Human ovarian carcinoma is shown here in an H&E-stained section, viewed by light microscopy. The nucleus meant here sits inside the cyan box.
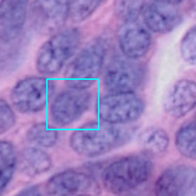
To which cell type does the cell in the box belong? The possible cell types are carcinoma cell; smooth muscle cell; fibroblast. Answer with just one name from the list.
carcinoma cell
